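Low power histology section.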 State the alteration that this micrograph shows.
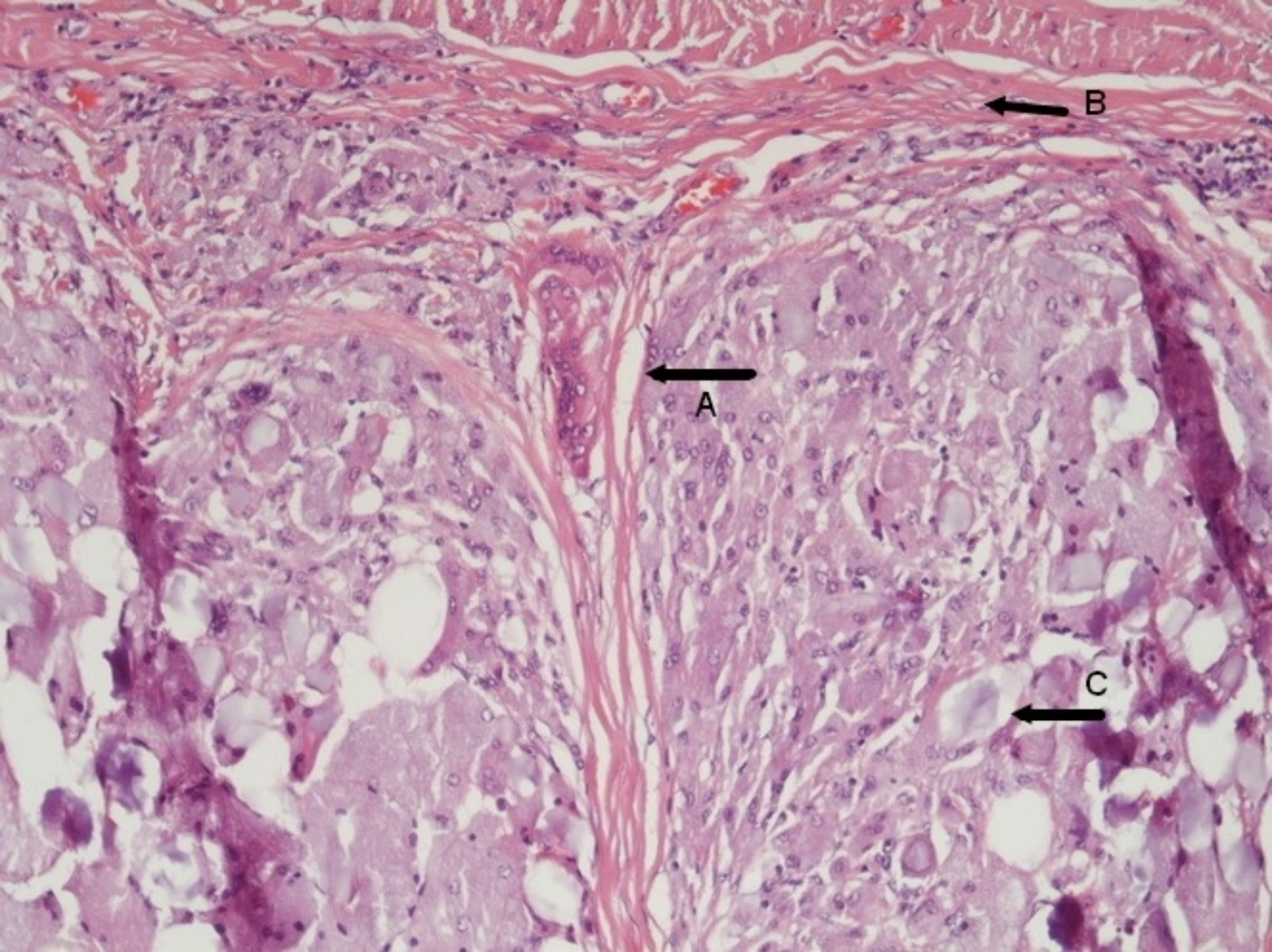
Foreign body reaction.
